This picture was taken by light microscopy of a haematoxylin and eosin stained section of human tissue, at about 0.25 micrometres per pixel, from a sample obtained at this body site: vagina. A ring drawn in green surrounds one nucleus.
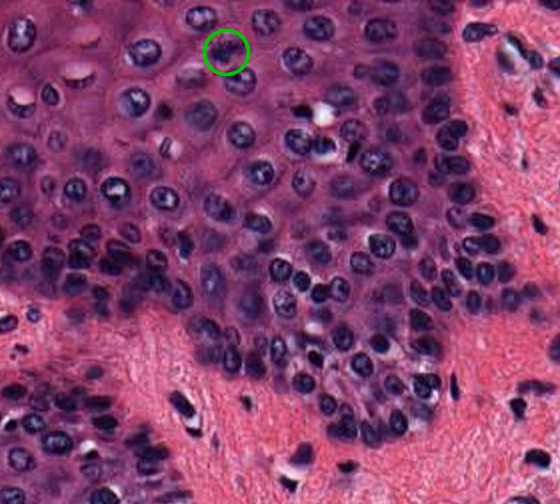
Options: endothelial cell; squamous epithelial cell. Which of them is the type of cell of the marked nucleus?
squamous epithelial cell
